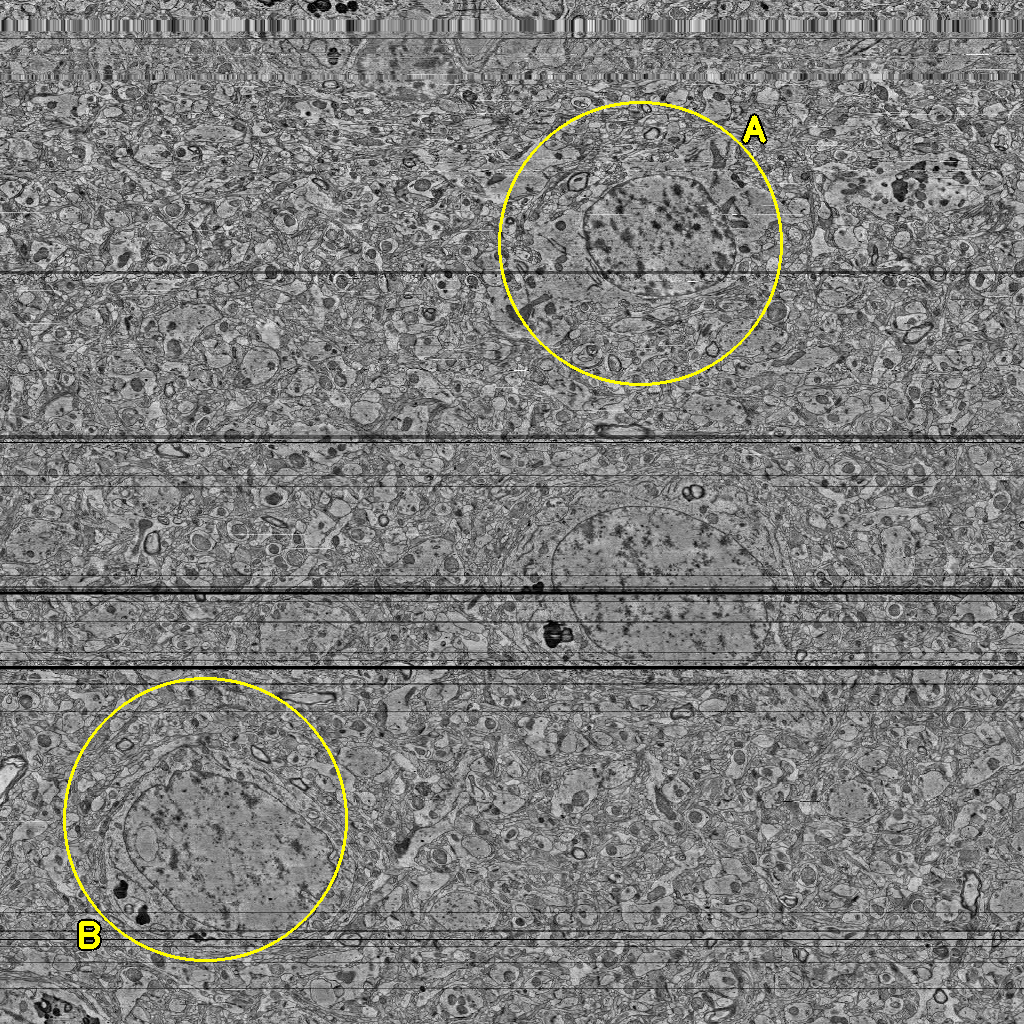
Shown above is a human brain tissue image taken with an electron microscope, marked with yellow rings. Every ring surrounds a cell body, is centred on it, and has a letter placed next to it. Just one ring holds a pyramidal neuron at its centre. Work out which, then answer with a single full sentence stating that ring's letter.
Ring B is the one whose centre holds a cell of that kind.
